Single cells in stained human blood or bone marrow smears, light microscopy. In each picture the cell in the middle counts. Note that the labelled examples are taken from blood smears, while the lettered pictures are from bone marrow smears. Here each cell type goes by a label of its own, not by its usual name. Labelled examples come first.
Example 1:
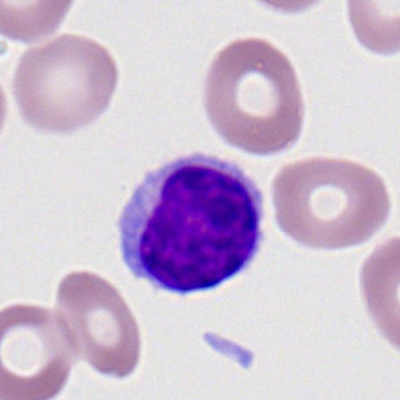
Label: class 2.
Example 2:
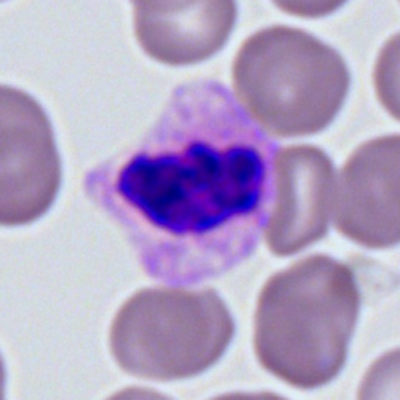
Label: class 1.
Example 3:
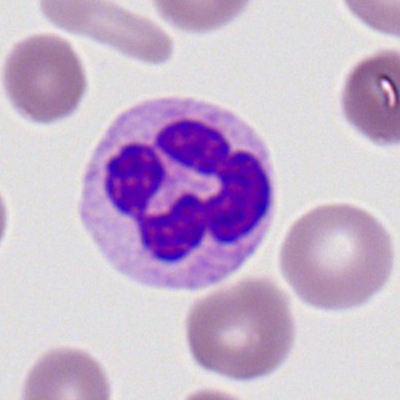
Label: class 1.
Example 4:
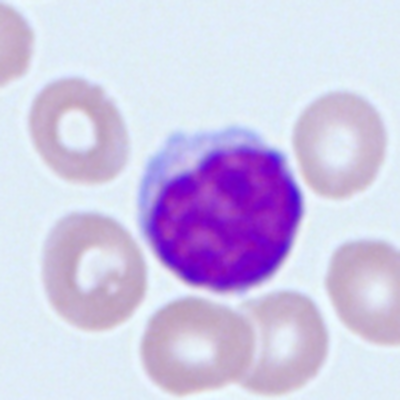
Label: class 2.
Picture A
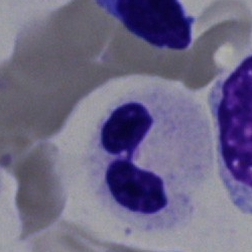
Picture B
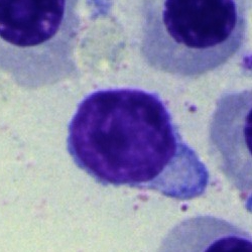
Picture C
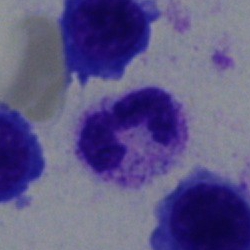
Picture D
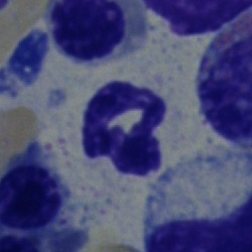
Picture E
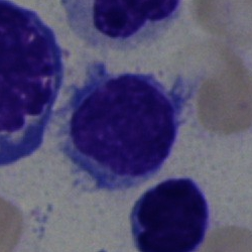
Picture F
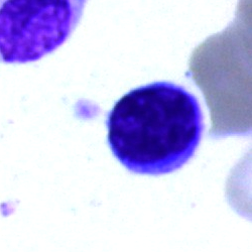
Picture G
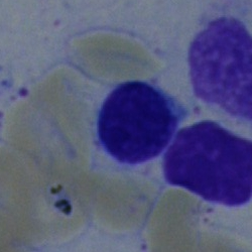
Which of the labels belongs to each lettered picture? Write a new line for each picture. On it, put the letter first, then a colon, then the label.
A: class 1.
B: class 2.
C: class 1.
D: class 1.
E: class 2.
F: class 2.
G: class 2.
